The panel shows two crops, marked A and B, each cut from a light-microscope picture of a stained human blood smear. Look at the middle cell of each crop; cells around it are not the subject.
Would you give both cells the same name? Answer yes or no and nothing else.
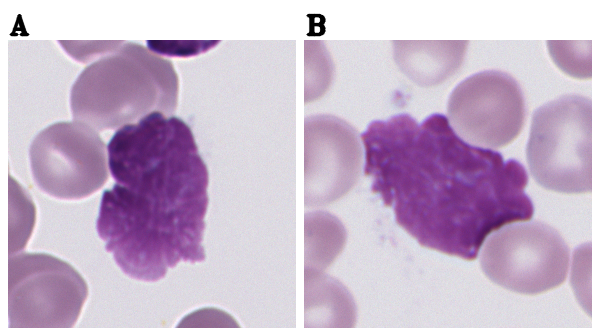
yes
